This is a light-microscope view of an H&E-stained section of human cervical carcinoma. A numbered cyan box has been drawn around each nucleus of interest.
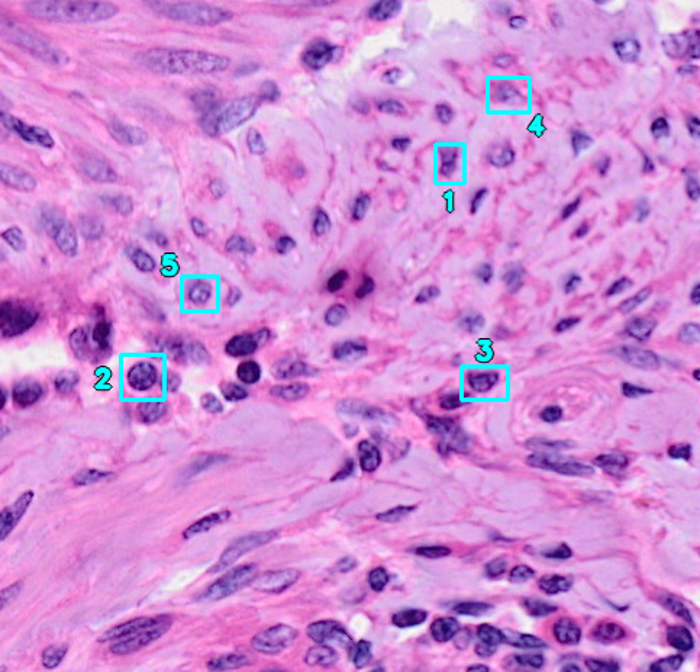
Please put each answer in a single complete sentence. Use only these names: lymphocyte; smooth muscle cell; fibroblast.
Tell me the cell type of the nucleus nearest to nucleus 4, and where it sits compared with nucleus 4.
Lying above nucleus 4, the nearest nucleus is that of a smooth muscle cell.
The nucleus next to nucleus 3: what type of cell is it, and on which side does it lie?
The nearest one is a lymphocyte, found below and to the left of nucleus 3.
